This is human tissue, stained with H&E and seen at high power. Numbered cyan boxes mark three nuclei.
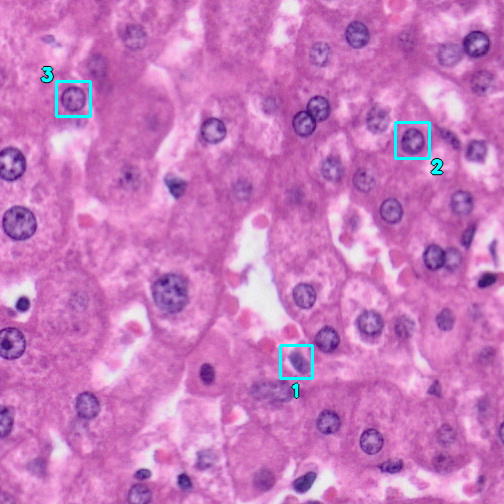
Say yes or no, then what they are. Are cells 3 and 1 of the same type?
No, cell 3 is a hepatocyte and cell 1 is an endothelial cell.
